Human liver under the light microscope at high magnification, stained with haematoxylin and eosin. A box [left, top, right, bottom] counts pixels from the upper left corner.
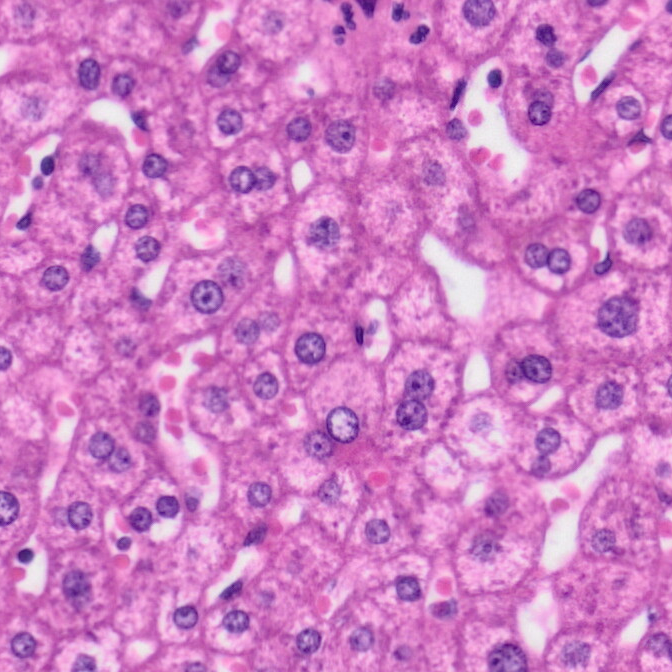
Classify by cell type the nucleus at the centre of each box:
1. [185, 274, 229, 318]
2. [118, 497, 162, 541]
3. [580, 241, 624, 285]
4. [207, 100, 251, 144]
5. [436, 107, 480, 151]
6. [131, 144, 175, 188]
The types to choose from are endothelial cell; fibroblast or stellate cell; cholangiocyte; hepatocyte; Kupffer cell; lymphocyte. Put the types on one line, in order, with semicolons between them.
hepatocyte; hepatocyte; endothelial cell; hepatocyte; Kupffer cell; hepatocyte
